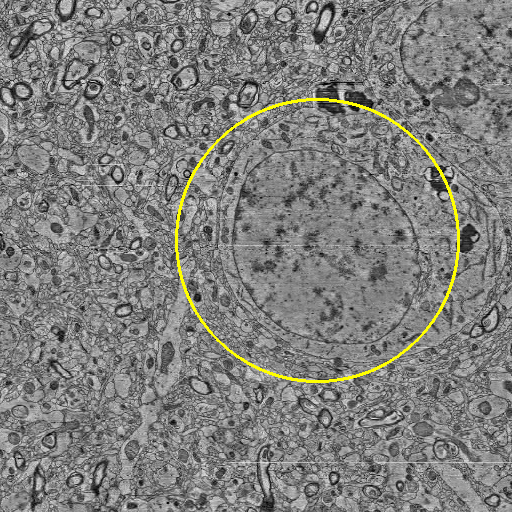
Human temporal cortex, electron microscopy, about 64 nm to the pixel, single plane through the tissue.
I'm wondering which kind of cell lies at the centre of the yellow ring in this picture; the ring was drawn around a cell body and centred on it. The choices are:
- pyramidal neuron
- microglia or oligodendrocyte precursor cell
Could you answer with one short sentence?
At the centre of the ring lies a pyramidal neuron.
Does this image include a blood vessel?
No, no blood vessel shows in the picture.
